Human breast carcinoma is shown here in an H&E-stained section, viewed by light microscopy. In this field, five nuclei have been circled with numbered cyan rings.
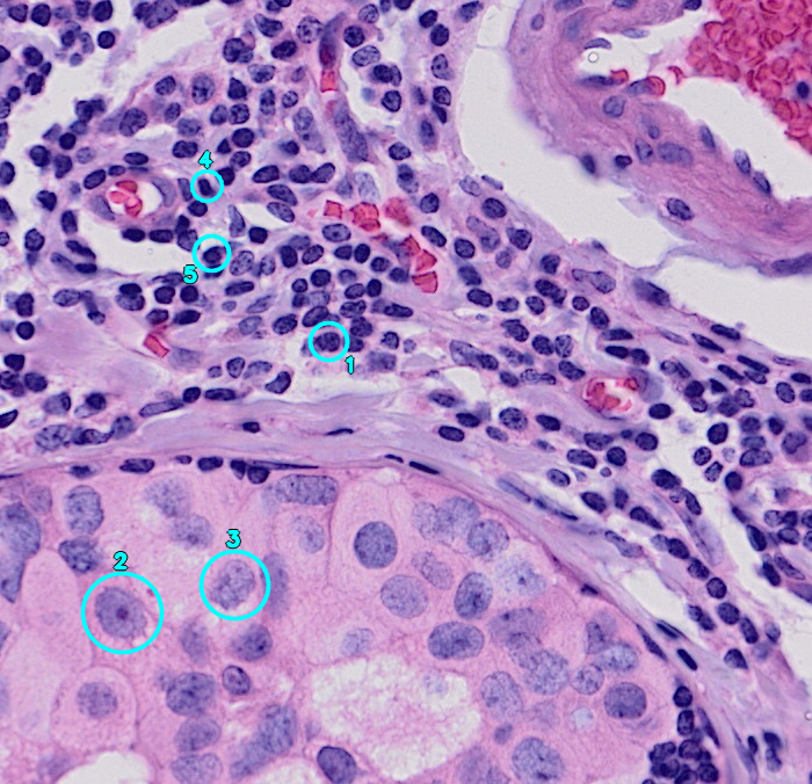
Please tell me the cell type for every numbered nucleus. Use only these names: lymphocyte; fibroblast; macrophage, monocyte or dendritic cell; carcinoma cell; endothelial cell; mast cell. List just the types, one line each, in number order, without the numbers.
lymphocyte
carcinoma cell
carcinoma cell
lymphocyte
lymphocyte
